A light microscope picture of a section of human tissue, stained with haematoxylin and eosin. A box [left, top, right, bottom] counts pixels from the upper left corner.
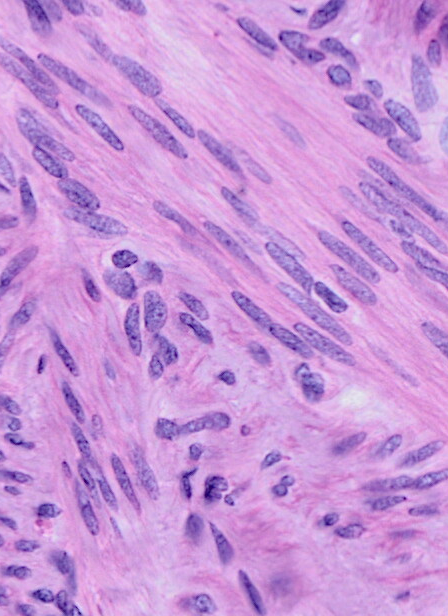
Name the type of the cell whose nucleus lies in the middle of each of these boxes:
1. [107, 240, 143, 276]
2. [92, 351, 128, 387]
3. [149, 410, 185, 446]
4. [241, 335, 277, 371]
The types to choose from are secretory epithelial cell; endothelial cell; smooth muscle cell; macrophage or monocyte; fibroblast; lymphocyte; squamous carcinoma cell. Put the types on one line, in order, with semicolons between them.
lymphocyte; smooth muscle cell; smooth muscle cell; smooth muscle cell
